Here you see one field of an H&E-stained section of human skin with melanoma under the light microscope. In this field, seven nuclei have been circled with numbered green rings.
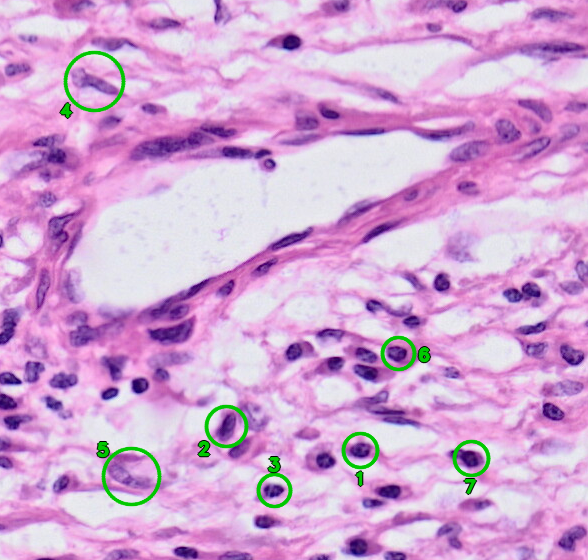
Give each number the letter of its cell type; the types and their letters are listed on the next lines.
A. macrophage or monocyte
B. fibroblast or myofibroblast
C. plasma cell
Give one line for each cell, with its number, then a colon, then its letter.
1: C
2: A
3: C
4: B
5: B
6: C
7: C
